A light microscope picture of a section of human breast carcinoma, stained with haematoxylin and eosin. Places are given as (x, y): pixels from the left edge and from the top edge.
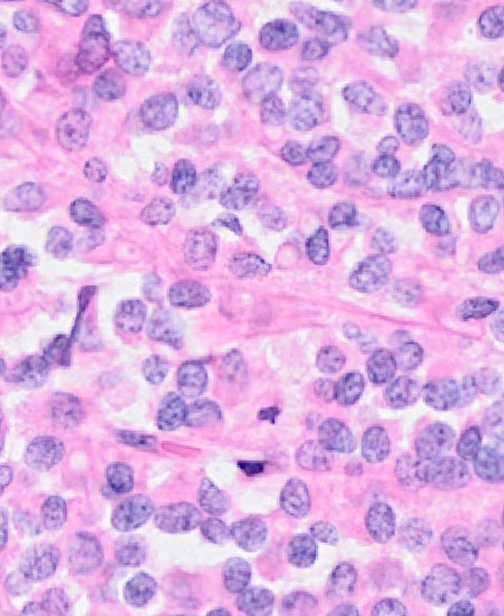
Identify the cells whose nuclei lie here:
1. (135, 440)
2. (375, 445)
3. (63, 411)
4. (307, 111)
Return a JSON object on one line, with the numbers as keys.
{"1": "endothelial cell", "2": "carcinoma cell", "3": "carcinoma cell", "4": "carcinoma cell"}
